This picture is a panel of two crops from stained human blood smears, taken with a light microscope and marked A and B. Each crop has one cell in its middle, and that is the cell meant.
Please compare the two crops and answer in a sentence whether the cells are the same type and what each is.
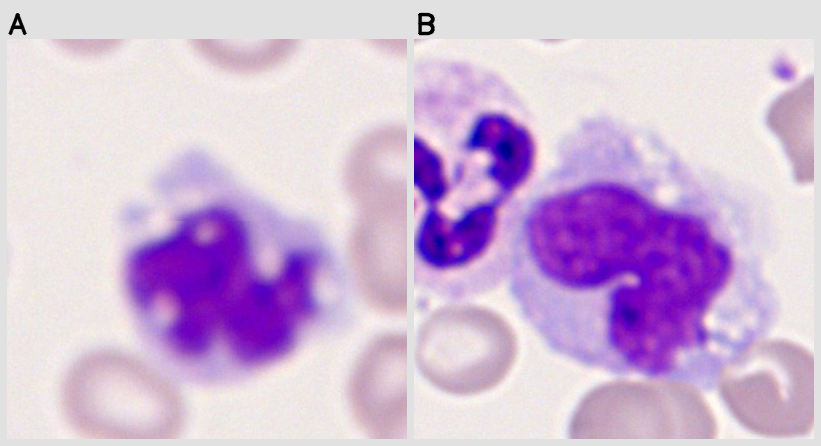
Yes, both crops in the pair show monocytes.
